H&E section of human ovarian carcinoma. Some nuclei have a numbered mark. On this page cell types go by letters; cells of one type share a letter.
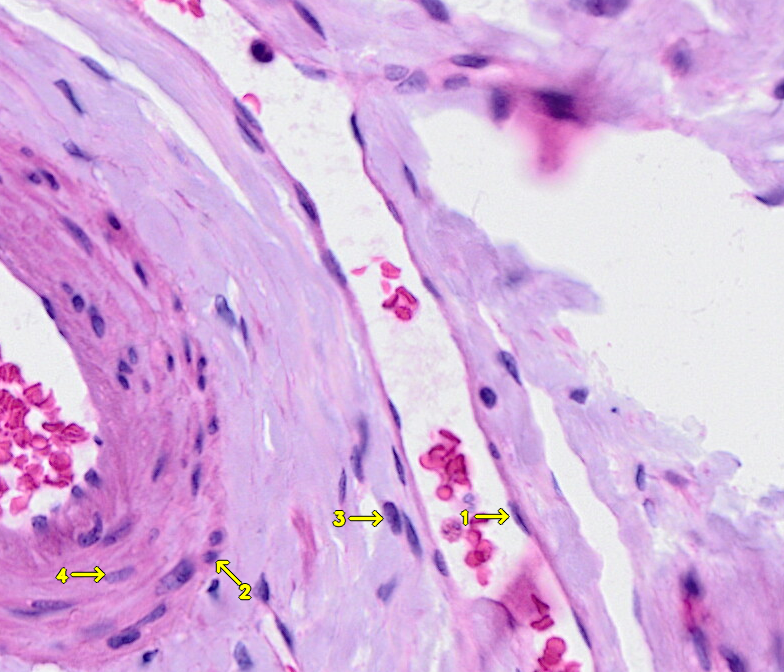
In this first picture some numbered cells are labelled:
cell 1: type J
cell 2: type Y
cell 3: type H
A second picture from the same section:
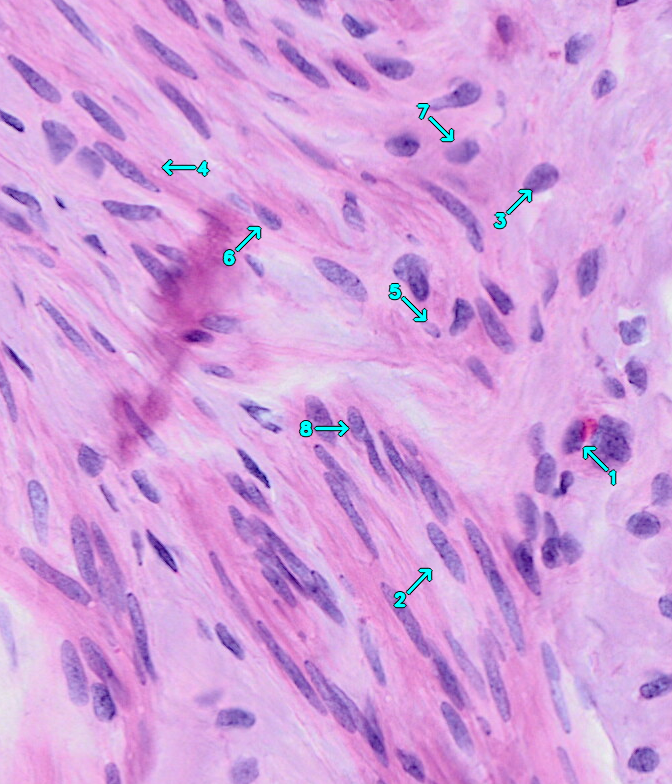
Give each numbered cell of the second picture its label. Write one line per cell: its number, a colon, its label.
1: type J
2: type Y
3: type H
4: type Y
5: type Y
6: type Y
7: type H
8: type Y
